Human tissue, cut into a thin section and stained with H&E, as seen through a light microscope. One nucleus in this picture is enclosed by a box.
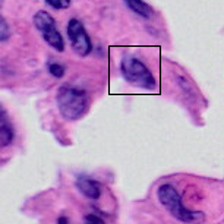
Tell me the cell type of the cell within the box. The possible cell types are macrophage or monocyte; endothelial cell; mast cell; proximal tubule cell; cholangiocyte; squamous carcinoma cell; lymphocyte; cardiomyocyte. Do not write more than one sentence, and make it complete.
Labelled by cell type, the cell within the box is a squamous carcinoma cell.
